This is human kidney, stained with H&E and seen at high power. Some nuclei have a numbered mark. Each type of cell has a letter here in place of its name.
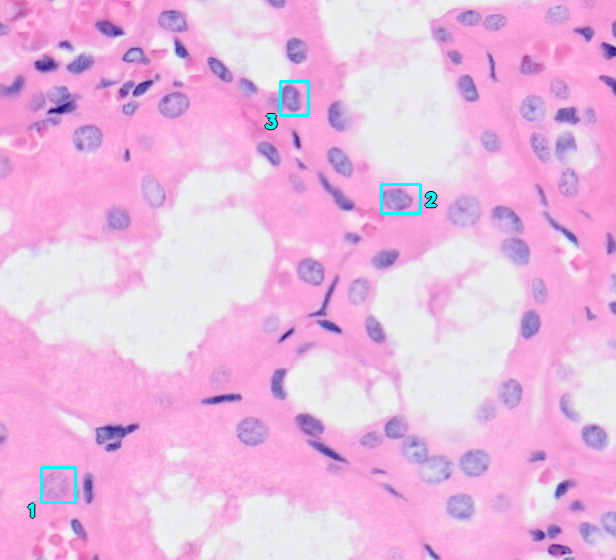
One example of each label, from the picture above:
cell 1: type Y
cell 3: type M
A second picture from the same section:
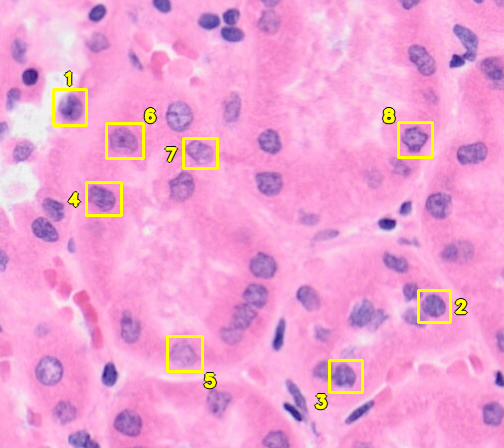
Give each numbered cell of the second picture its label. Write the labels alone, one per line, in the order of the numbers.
type M
type M
type M
type Y
type Y
type Y
type Y
type Y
